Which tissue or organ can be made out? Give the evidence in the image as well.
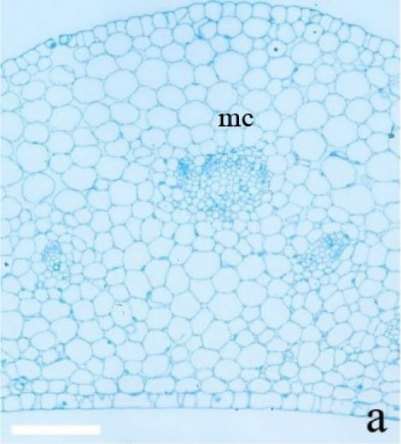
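A flat organ bounded by a single layer of small cells on both surfaces. The interior is filled with large rounded thin-walled parenchyma cells. A vascular bundle of small dense cells lies in the middle, with smaller bundles to the sides.
Conclusion: leaf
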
